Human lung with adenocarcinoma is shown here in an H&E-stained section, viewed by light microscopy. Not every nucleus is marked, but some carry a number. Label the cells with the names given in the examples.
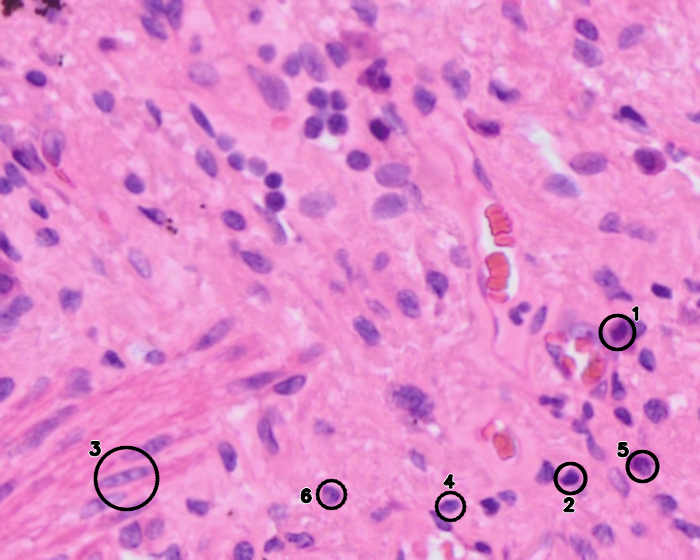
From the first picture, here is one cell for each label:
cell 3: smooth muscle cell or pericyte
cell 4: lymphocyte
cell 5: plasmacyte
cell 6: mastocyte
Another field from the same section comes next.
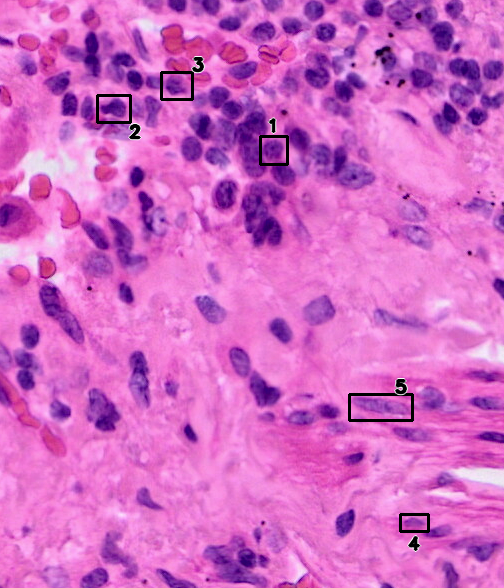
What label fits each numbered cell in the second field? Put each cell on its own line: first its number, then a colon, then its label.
1: lymphocyte
2: lymphocyte
3: lymphocyte
4: smooth muscle cell or pericyte
5: smooth muscle cell or pericyte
